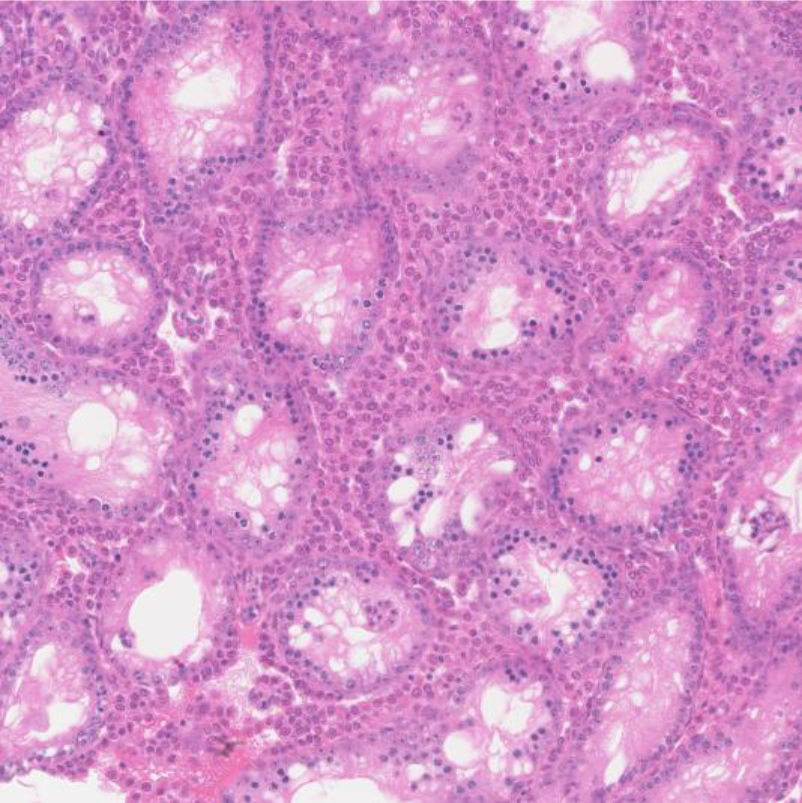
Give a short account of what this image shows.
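This section shows seminiferous tubules of the testis cut across, packed closely with cellular tissue filling the spaces between them. Each tubule is bordered by a thin pink boundary and lined by a thin epithelium, mostly only one to a few nuclei deep, with round purple nuclei set along the base. The centres of the tubules are occupied by pale pink, foamy material riddled with large clear vacuoles of varying size rather than by multiple layers of germ cells. Scattered small, dark, rounded nuclei lie near the inner edge of some tubules. Between the tubules the interstitial tissue is crowded with cells having round nuclei and pink cytoplasm.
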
